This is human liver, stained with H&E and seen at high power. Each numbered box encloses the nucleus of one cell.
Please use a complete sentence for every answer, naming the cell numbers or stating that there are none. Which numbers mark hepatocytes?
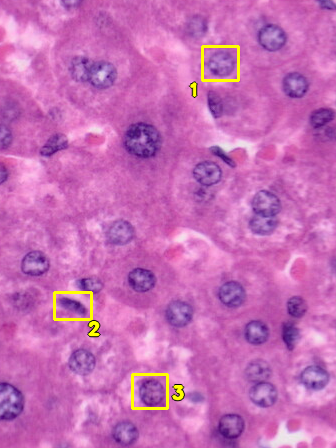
The cells with labels 1 and 3 are hepatocytes.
